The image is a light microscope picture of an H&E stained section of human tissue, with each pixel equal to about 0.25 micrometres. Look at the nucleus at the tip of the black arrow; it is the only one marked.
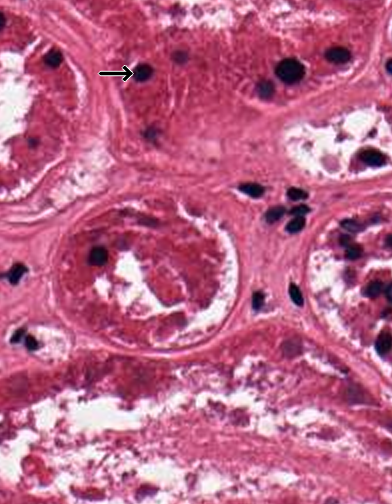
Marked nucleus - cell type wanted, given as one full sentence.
A nucleus belonging to a proximal tubule cell is the one marked.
